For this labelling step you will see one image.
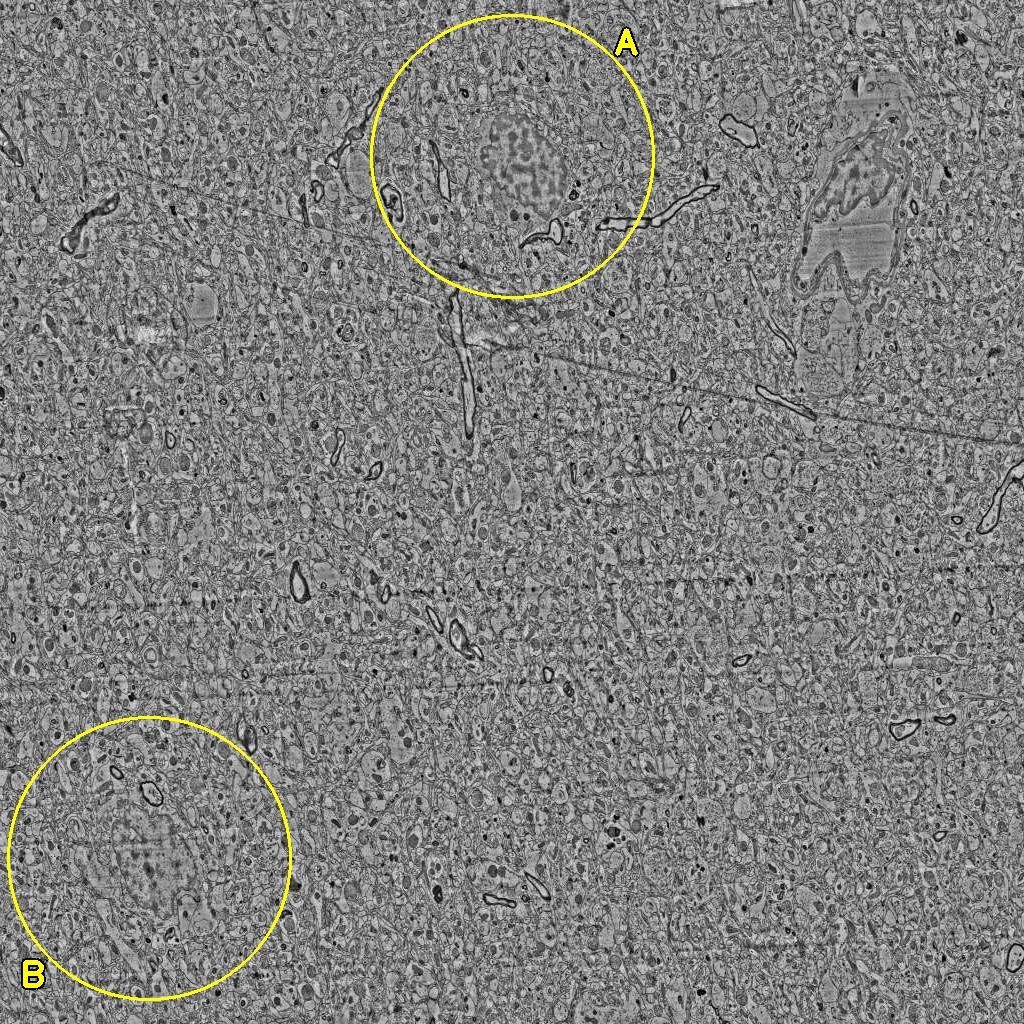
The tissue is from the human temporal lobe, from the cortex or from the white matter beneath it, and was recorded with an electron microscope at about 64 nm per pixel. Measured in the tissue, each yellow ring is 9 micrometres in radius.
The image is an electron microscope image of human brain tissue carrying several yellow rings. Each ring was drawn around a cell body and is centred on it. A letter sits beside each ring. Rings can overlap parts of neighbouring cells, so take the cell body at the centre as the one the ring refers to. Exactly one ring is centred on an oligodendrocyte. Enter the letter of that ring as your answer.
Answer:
A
